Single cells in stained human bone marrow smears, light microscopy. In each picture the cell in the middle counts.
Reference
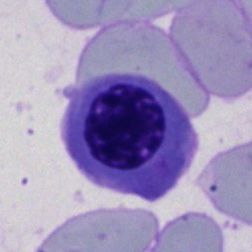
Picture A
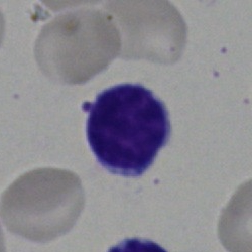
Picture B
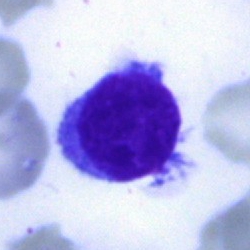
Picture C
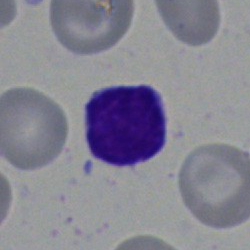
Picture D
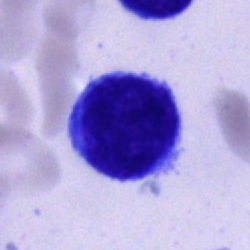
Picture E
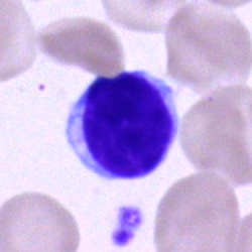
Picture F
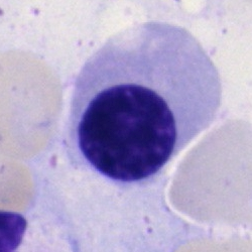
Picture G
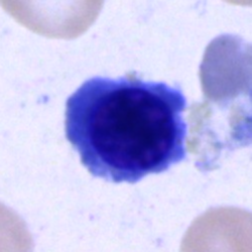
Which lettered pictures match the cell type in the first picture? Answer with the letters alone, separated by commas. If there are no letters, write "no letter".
F, G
